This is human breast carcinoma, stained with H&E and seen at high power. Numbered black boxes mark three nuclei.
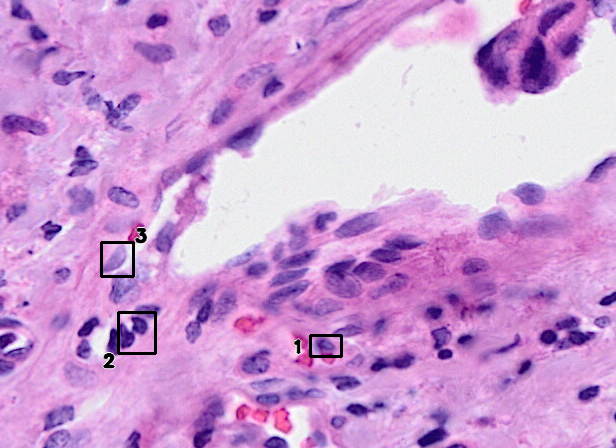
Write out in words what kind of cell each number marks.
Cell 1 is an endothelial cell, cell 2 is a lymphocyte and cell 3 is an endothelial cell.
